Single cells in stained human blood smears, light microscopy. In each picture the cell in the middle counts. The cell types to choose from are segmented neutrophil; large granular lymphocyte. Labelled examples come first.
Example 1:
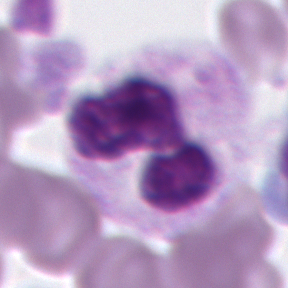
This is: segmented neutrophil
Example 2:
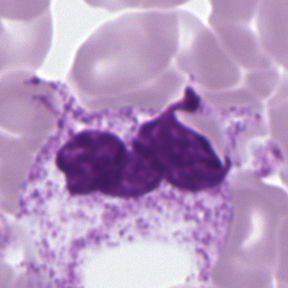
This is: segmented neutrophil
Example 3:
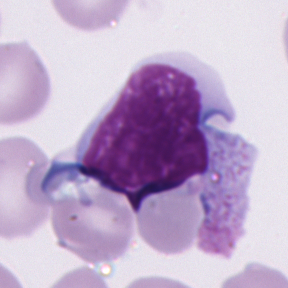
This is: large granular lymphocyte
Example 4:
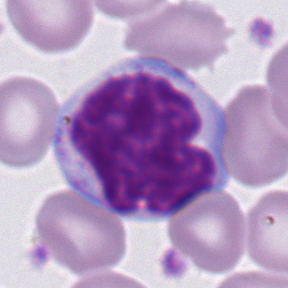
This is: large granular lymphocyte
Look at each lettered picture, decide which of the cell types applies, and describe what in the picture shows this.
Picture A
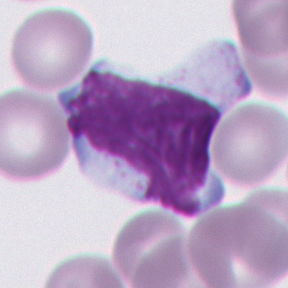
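large granular lymphocyte. Reason: The nucleus is a broad, irregular mass that fills most of the cell.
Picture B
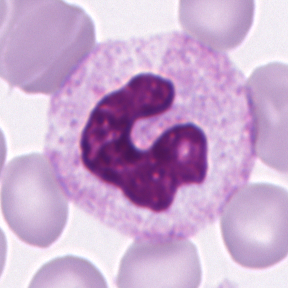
segmented neutrophil. Reason: The cytoplasm is abundant and pale pinkish-lilac.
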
